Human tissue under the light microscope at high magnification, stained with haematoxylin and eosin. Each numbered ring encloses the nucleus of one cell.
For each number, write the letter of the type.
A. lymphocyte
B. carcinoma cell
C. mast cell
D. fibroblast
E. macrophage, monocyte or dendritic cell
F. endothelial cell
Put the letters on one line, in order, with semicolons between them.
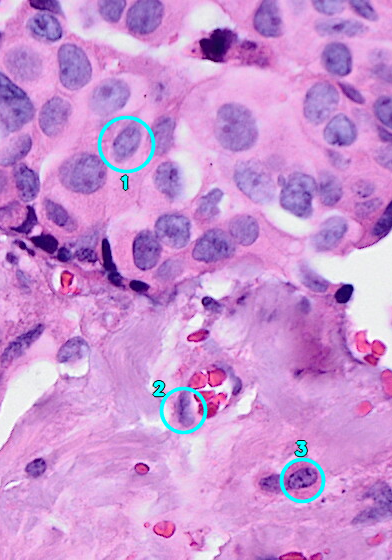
B; F; C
